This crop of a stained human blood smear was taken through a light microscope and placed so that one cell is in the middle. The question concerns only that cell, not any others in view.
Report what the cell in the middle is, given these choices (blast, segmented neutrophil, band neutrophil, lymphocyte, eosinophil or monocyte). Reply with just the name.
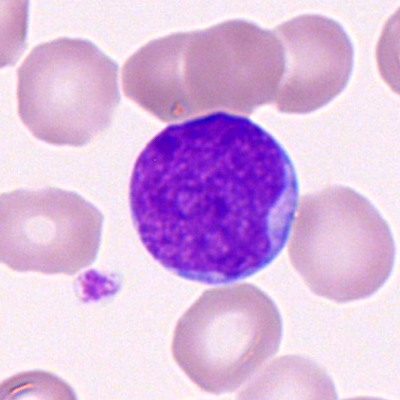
blast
